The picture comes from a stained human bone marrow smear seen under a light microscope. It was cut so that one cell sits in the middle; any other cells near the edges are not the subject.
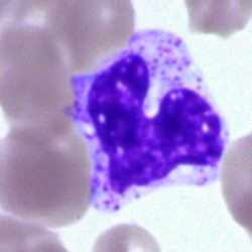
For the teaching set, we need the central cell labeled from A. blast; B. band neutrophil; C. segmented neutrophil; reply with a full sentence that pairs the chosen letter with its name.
The cell at the heart of the crop is a band neutrophil, so choose option B.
